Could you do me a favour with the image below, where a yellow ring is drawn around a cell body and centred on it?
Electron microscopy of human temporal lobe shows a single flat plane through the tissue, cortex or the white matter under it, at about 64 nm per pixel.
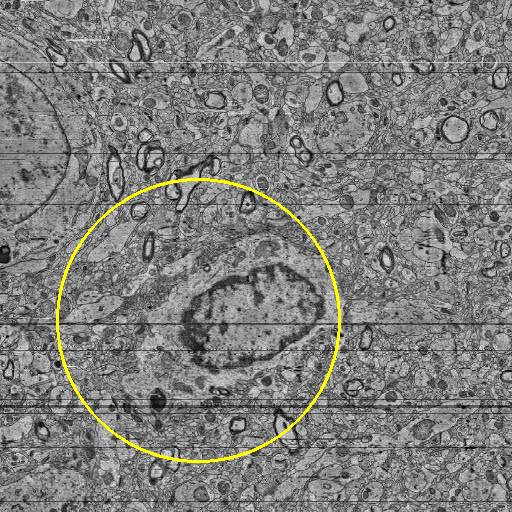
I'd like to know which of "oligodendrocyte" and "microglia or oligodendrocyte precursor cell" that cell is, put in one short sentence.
The cell at the ring's centre is a microglial cell or oligodendrocyte precursor cell.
